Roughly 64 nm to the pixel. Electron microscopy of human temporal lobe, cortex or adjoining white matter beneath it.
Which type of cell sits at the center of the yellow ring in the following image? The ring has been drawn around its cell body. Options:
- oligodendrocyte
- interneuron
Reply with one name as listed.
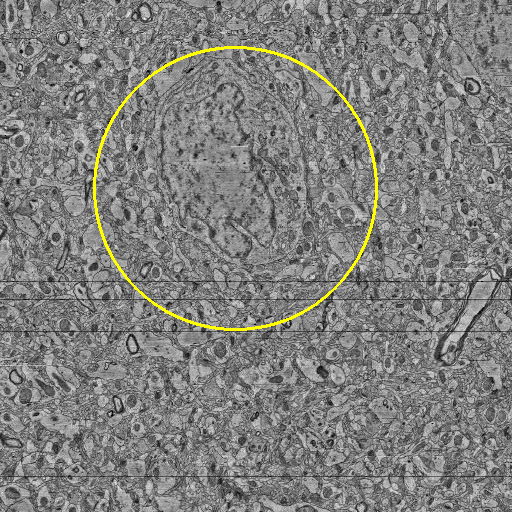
interneuron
